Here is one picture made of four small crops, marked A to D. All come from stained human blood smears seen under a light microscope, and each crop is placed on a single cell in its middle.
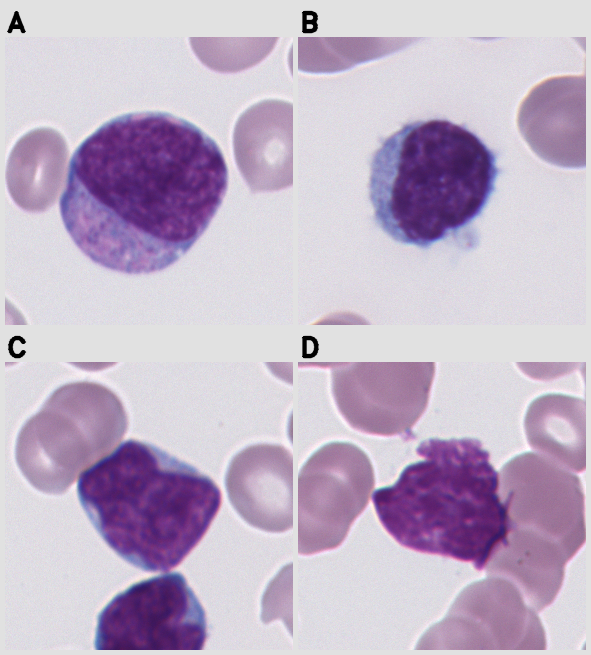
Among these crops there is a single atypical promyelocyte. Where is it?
A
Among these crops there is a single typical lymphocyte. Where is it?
B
